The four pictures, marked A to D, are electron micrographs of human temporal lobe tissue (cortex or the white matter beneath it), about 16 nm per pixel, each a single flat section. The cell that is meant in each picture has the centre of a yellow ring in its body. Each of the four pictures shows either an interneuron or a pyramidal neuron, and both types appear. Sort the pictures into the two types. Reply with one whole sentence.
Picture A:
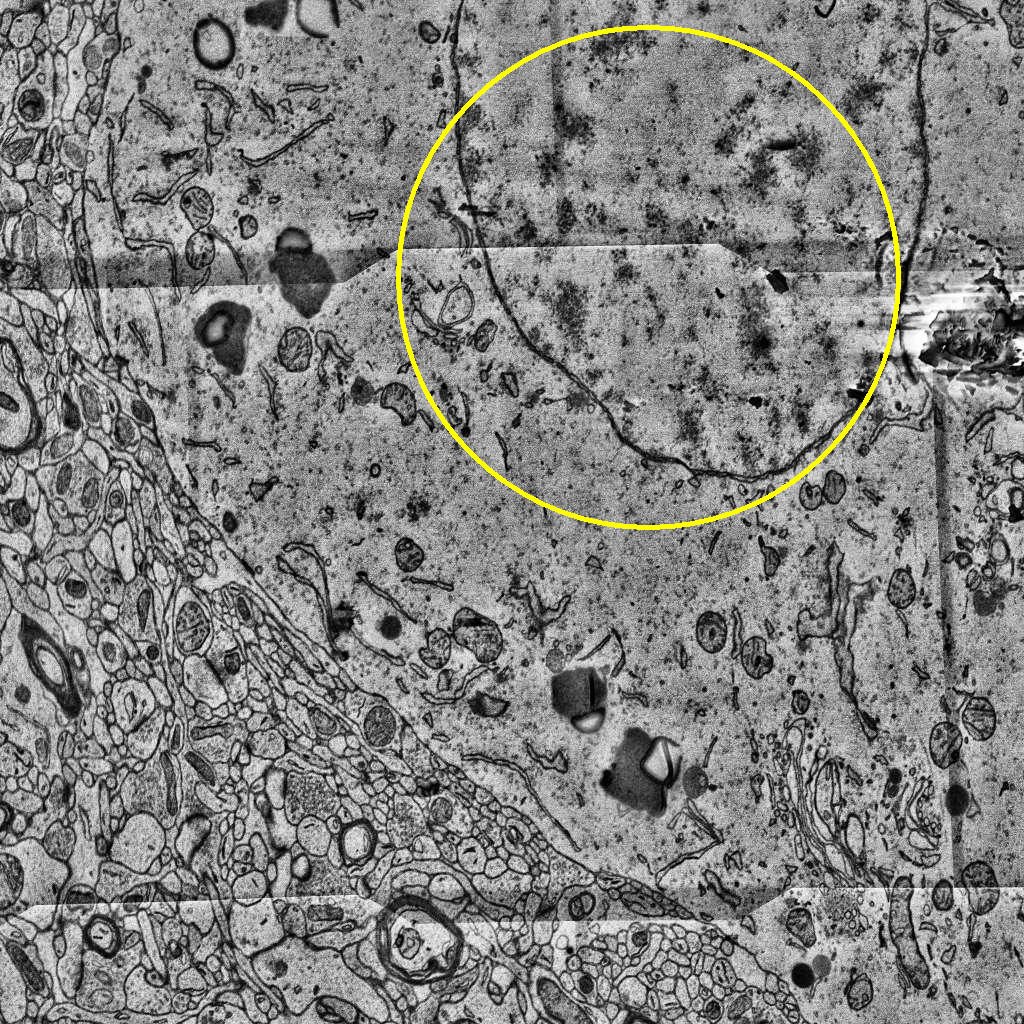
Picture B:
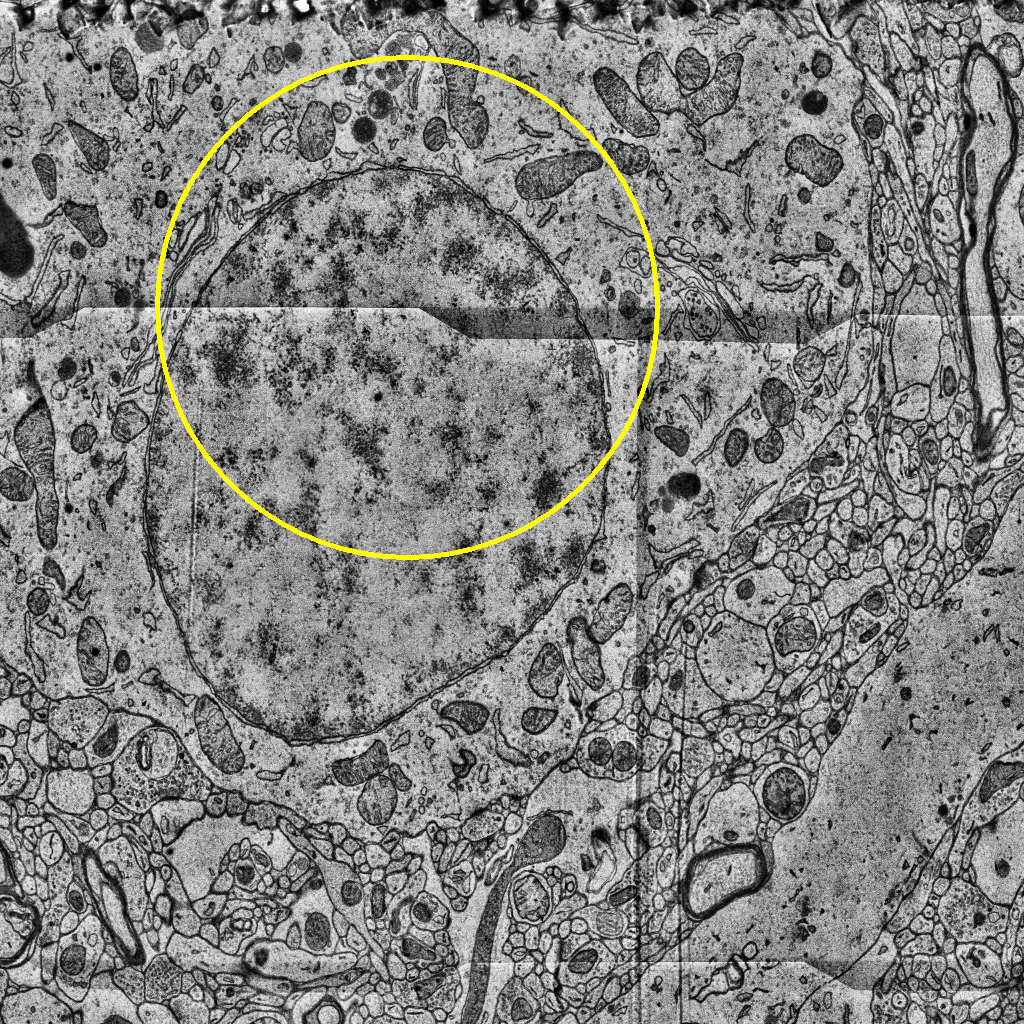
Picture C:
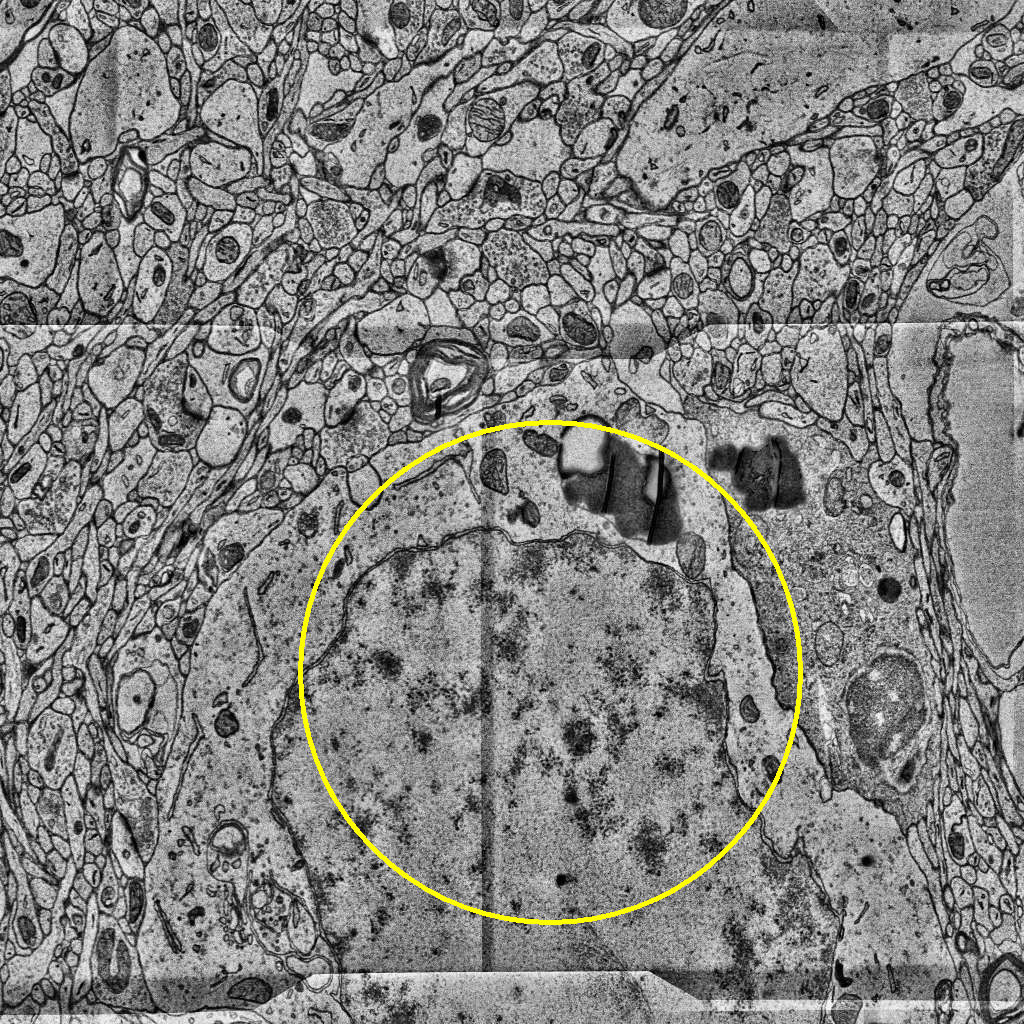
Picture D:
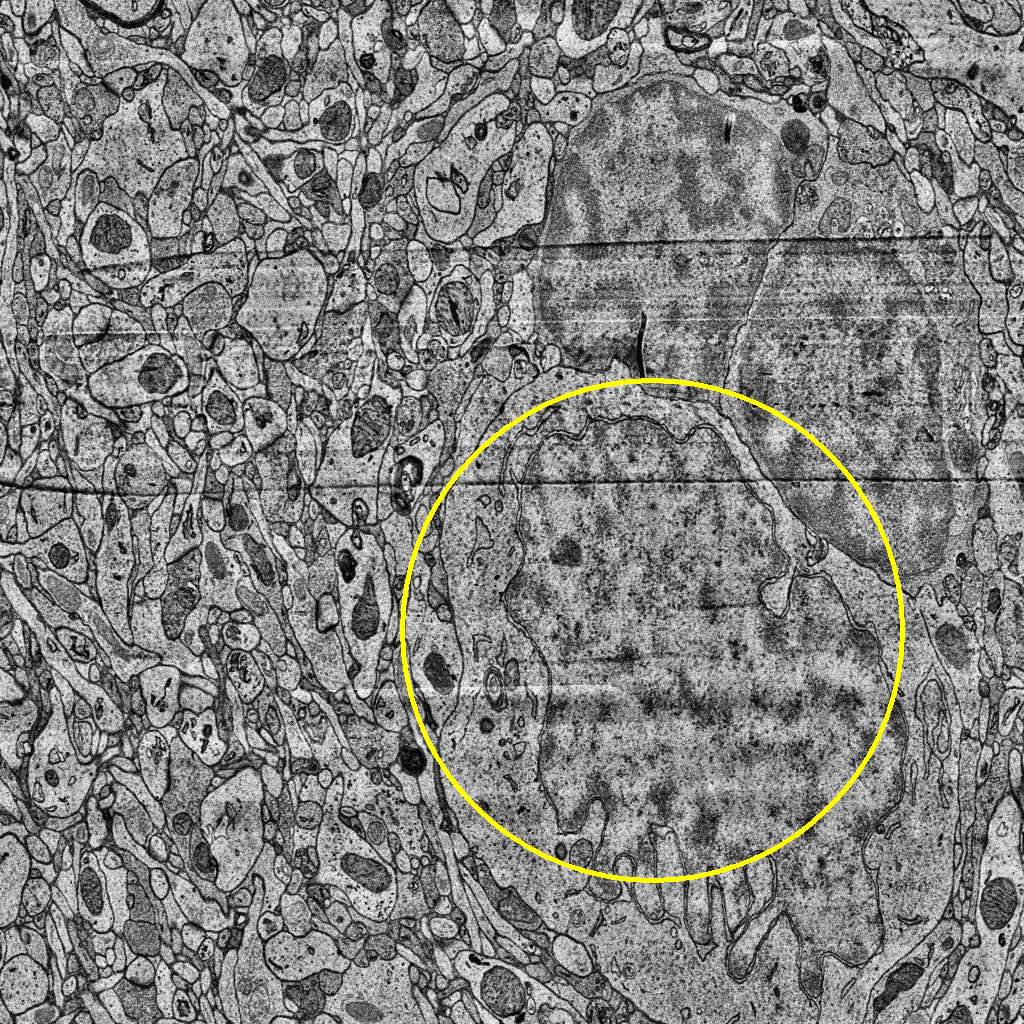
Pictures B, C and D show interneurons, and picture A shows a pyramidal neuron.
